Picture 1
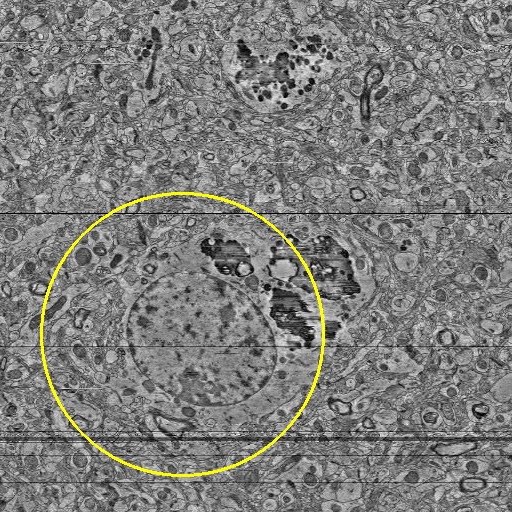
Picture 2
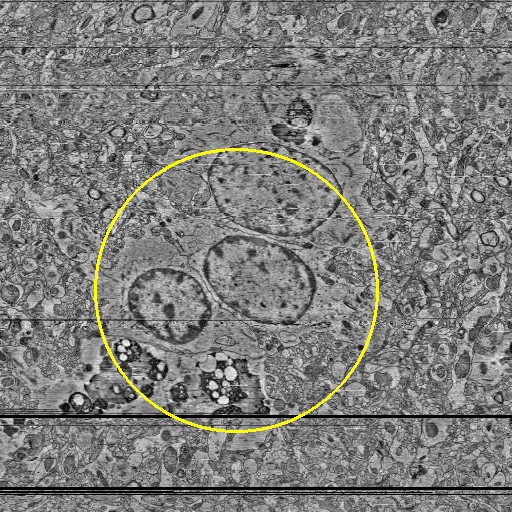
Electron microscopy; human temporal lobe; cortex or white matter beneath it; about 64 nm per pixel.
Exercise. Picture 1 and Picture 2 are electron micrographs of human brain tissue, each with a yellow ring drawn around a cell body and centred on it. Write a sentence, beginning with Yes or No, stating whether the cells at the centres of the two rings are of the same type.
Yes, the cells at the centres of both rings are of the same type.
